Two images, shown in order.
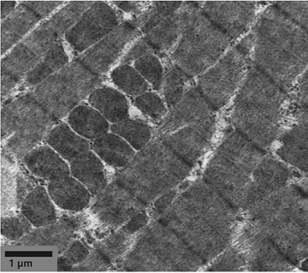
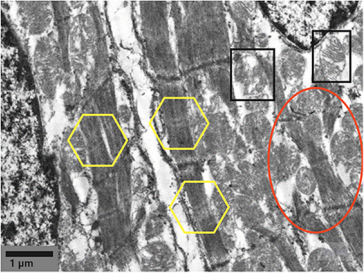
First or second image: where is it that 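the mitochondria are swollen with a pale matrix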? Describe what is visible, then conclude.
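The second image. Second image: several mitochondria look rounded with pale interiors and sparse content. First image: mitochondria are dark and densely filled with cristae.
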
